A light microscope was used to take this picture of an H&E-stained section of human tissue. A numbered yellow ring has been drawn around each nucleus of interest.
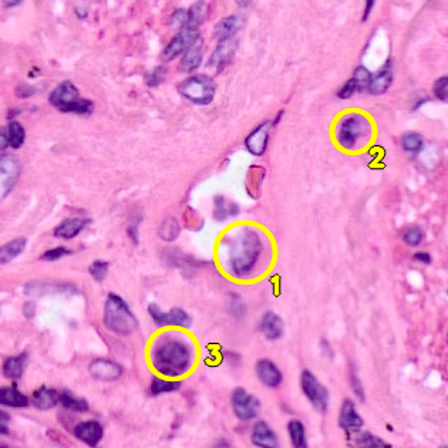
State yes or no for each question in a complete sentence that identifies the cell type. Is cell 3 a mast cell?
No, cell 3 is not a mast cell, but is instead a plasma cell.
